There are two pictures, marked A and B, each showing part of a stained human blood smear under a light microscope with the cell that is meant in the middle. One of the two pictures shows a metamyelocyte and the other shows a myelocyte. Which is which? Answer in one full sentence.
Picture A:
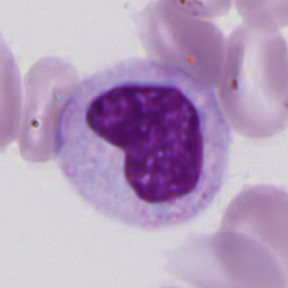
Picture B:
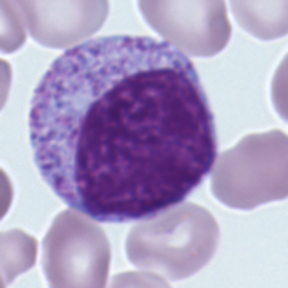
Picture A is of a metamyelocyte, and picture B is of a myelocyte.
